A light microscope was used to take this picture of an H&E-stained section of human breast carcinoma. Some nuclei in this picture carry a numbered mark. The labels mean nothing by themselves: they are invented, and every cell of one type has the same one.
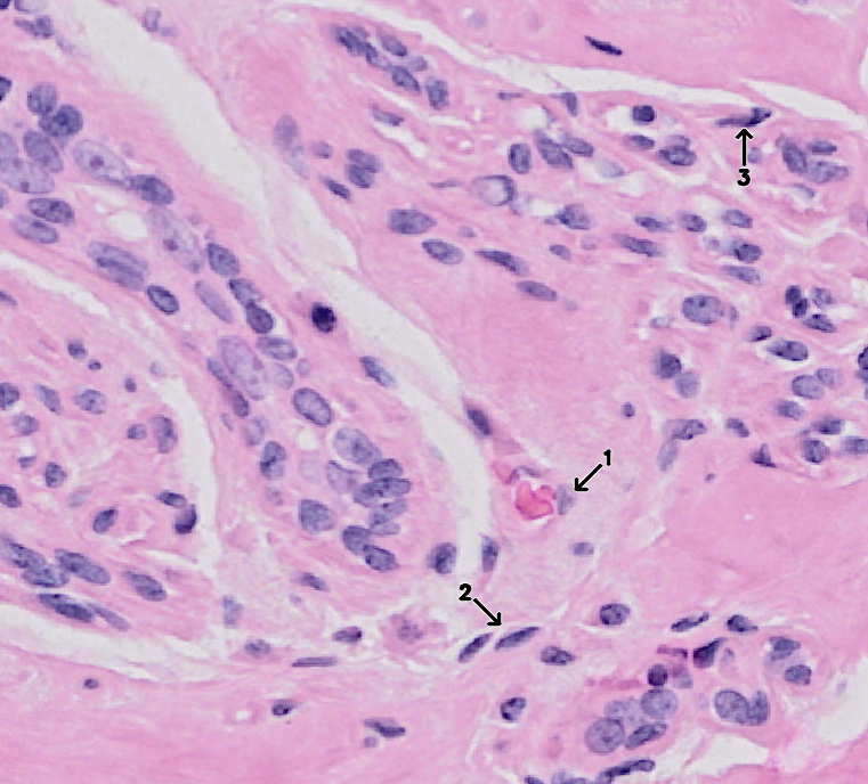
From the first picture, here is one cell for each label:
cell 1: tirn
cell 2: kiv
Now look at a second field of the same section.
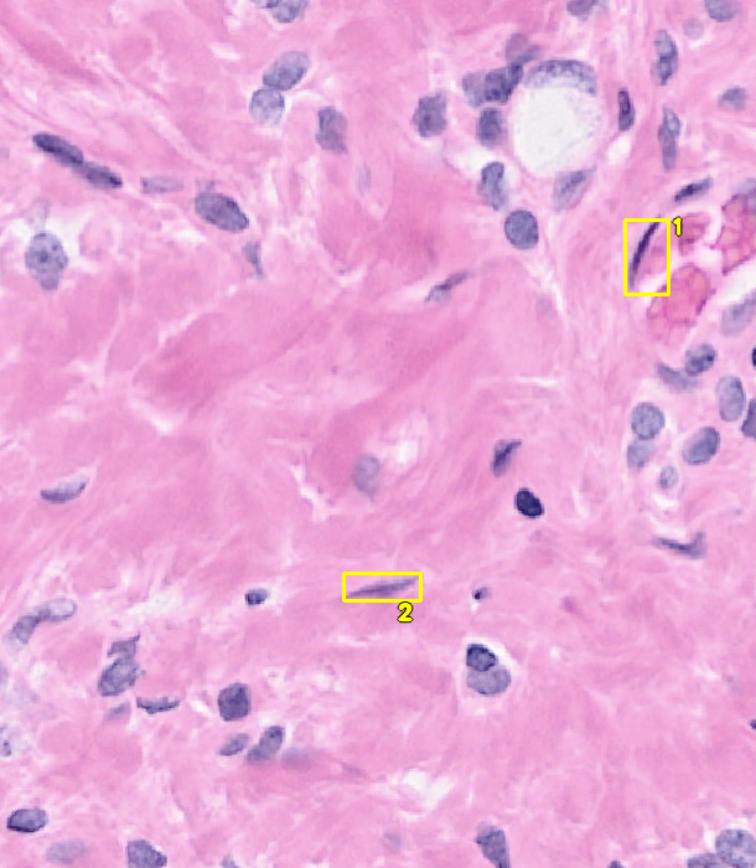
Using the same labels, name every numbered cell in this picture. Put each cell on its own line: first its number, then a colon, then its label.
1: tirn
2: kiv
